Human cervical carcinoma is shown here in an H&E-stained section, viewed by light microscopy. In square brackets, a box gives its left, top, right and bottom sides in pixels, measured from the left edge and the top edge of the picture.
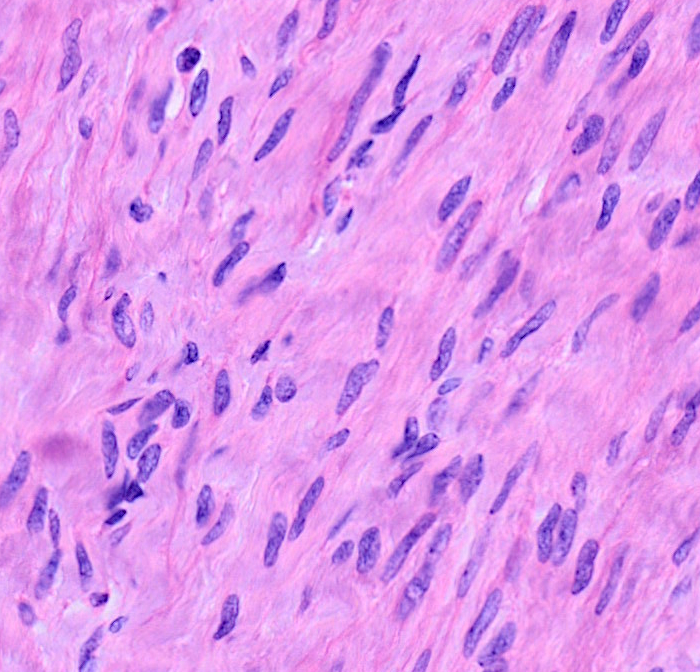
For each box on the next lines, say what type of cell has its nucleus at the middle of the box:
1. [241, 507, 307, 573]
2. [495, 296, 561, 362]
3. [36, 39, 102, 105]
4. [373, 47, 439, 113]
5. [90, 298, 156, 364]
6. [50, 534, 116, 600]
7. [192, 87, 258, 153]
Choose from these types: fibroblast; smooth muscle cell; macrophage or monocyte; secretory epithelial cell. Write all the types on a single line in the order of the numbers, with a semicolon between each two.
fibroblast; smooth muscle cell; smooth muscle cell; fibroblast; smooth muscle cell; fibroblast; fibroblast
